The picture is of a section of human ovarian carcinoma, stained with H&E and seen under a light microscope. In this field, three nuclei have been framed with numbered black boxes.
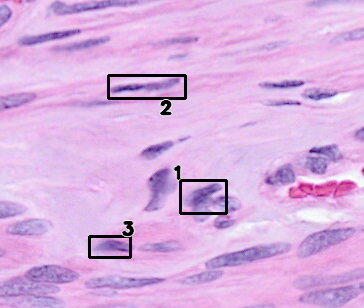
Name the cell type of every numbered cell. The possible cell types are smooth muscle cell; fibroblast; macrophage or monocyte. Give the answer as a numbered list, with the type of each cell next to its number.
1. fibroblast
2. smooth muscle cell
3. smooth muscle cell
